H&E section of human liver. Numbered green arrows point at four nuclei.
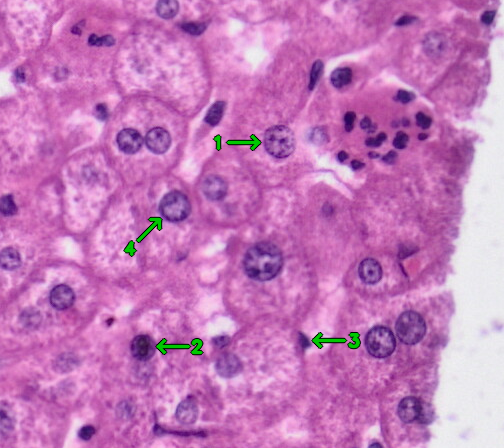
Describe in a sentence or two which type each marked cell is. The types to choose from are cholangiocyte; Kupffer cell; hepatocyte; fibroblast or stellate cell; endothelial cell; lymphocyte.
Cells 1, 2 and 4 are hepatocytes. Cell 3 is an endothelial cell.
